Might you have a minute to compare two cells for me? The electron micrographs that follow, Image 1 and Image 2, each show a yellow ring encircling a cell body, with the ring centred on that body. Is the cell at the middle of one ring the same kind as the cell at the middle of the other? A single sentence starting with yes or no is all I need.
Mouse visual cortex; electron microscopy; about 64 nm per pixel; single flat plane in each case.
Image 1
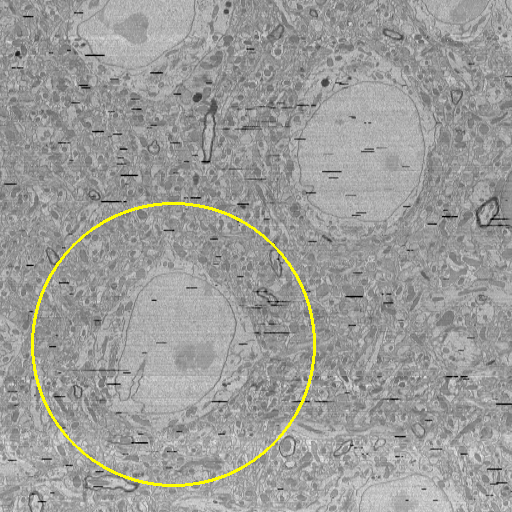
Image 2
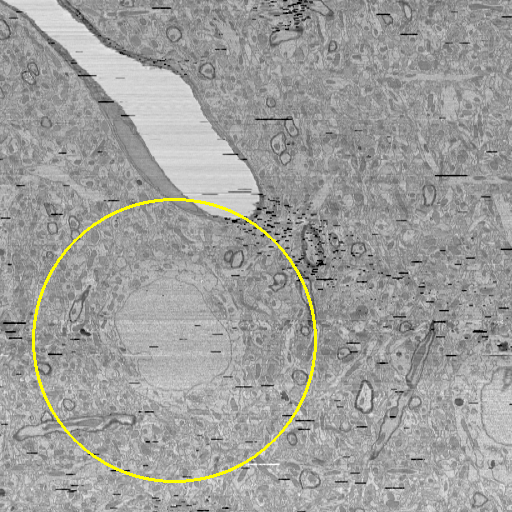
Yes, the cells in the middle of the two rings are of one shared kind.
